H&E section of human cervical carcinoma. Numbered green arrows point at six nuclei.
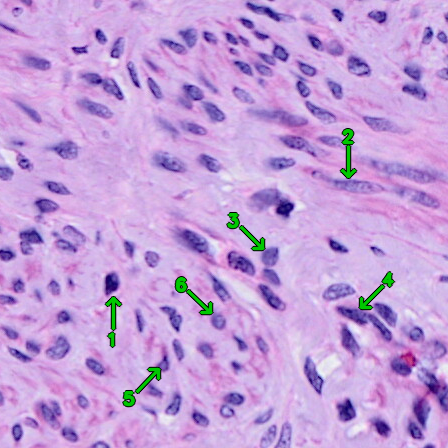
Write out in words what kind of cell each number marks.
Cell 1 is a lymphocyte. Cells 2, 5 and 6 are smooth muscle cells. Cell 3 is a fibroblast. Cell 4 is an endothelial cell.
